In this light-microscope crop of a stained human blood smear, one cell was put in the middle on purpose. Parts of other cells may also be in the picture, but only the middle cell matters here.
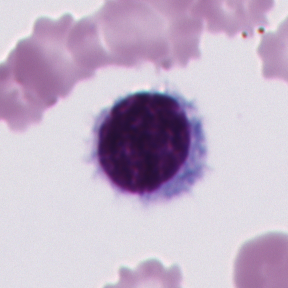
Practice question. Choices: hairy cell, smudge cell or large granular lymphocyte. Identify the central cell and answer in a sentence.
Seen at the centre of the crop is a hairy cell.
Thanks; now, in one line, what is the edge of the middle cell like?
The cell is bounded by a ragged or projection-bearing margin rather than a smooth one.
